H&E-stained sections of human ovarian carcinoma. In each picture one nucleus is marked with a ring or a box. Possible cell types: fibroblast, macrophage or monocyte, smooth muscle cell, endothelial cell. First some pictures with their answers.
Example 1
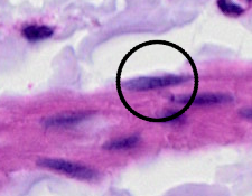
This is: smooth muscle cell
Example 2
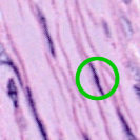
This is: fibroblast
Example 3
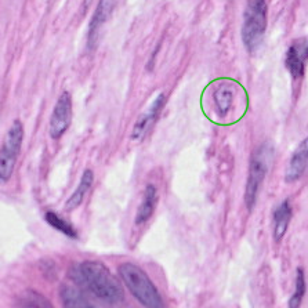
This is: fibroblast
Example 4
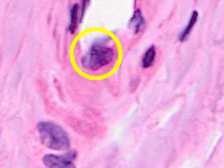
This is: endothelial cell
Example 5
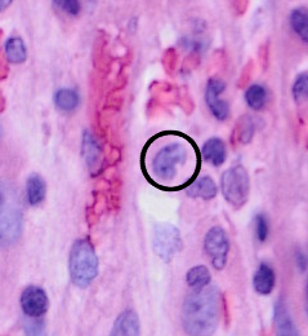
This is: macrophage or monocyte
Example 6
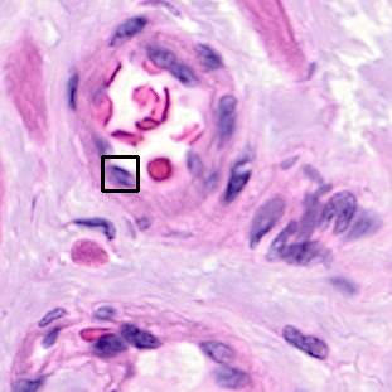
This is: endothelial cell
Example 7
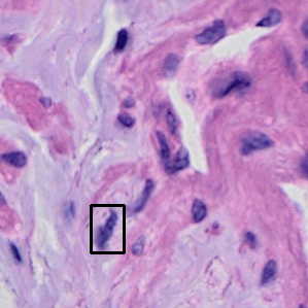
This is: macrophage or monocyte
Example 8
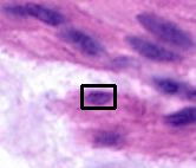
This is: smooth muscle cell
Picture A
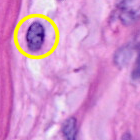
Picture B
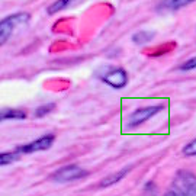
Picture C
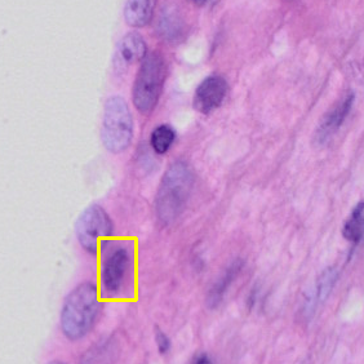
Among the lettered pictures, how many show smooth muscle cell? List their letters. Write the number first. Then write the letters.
0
